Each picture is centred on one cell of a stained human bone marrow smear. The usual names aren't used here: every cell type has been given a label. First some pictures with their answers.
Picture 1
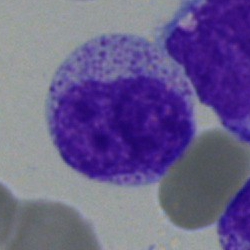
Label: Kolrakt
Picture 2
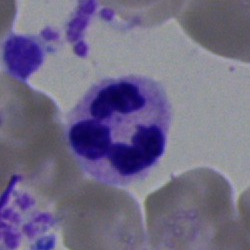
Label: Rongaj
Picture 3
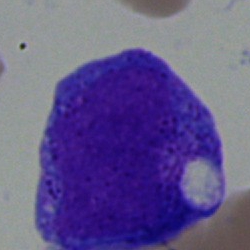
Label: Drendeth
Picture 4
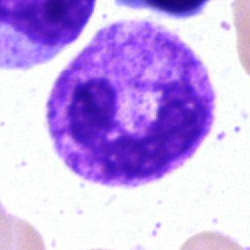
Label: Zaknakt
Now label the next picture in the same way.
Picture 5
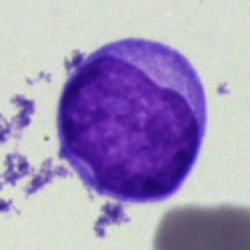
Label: Drendeth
